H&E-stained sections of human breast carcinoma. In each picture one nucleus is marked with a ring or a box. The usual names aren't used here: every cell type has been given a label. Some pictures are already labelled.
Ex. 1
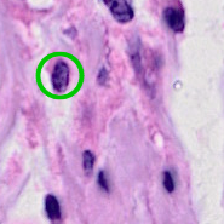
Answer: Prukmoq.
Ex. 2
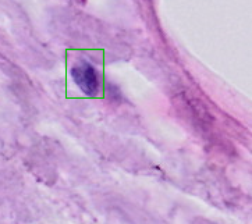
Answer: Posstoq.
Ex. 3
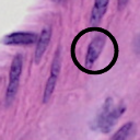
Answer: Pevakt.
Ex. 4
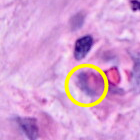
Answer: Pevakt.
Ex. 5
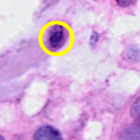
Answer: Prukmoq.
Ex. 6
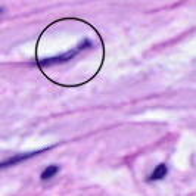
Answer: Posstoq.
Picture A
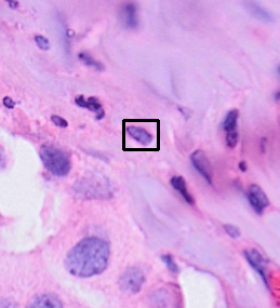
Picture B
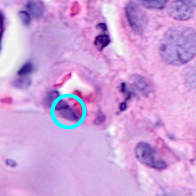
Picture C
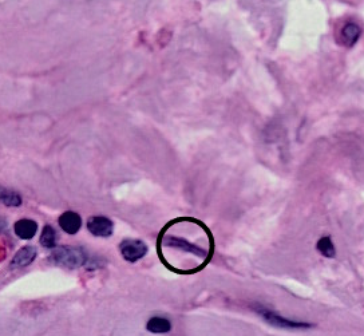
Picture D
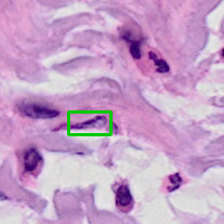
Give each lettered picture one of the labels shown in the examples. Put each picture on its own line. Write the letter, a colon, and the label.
A: Prukmoq.
B: Pevakt.
C: Posstoq.
D: Posstoq.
